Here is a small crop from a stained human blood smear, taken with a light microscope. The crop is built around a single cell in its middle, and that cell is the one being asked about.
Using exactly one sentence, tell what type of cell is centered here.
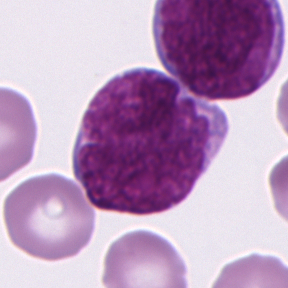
At the center of the crop sits a myeloblast.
